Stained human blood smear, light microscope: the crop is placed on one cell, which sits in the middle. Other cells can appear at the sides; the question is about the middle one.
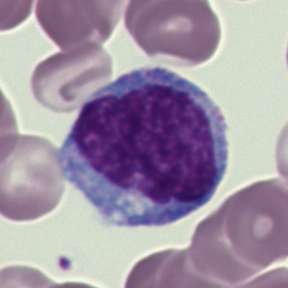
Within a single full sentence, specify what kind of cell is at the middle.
This crop is built around a monocyte at its centre.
